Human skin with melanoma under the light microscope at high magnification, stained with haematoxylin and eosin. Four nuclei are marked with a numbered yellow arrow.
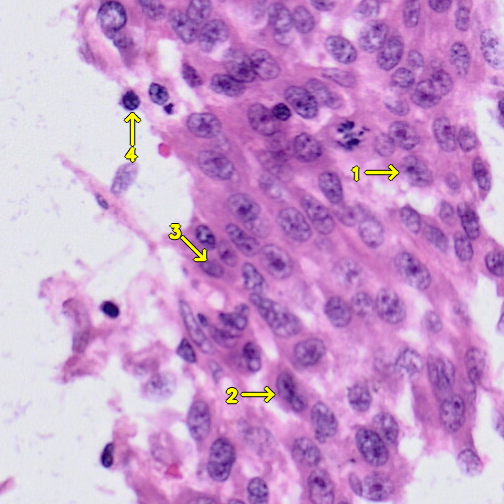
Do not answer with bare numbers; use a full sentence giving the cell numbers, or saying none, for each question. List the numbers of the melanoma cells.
The cells picked out by numbers 1, 2 and 3 are melanoma cells.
